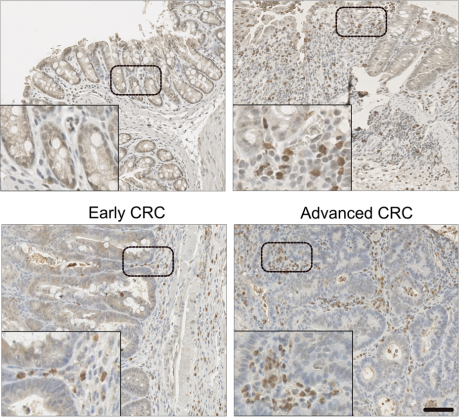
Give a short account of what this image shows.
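The inflamed colon shows disrupted mucosa with many brown-stained nuclei in the infiltrated tissue. The tumor sections show crowded, irregular glands with scattered and clustered brown-stained cells in the stroma, most numerous in the last image.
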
